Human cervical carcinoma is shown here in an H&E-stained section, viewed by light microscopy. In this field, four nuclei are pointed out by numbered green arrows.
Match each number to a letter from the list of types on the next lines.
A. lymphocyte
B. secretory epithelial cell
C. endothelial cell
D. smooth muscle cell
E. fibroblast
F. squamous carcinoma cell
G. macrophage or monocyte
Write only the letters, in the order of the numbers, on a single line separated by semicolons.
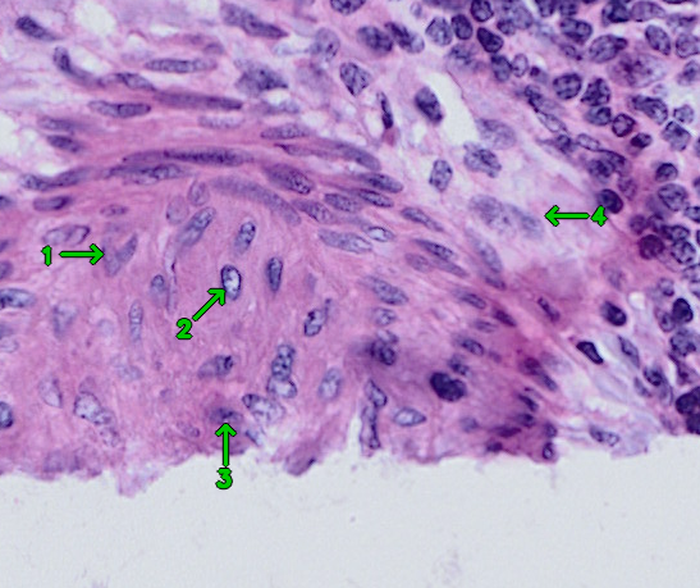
D; D; D; E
